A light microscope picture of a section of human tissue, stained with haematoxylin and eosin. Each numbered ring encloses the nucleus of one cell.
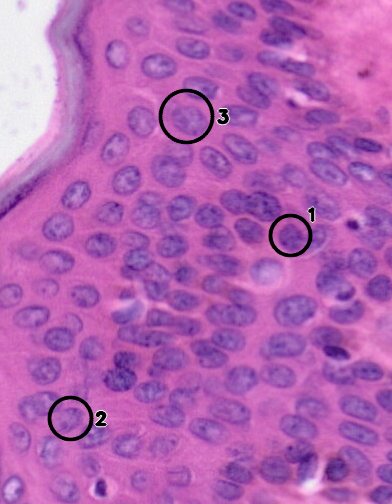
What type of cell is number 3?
suprabasal keratinocyte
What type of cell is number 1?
basal keratinocyte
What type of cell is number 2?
suprabasal keratinocyte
